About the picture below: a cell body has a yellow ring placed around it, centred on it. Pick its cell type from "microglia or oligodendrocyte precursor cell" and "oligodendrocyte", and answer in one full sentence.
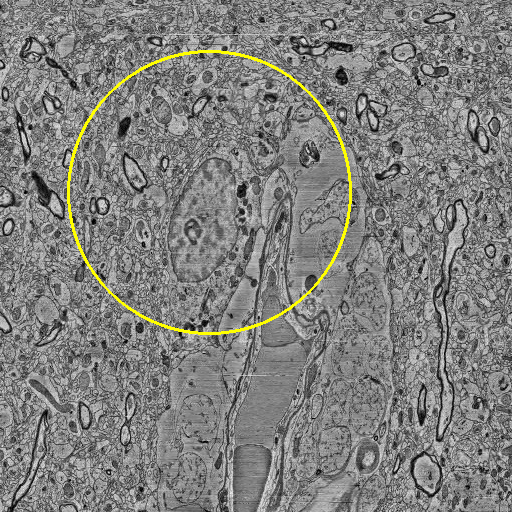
In the picture, an oligodendrocyte is the cell sitting at the centre of the yellow ring.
